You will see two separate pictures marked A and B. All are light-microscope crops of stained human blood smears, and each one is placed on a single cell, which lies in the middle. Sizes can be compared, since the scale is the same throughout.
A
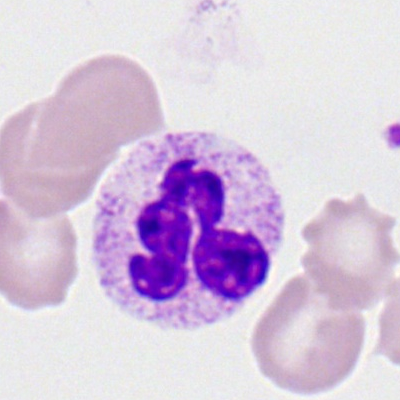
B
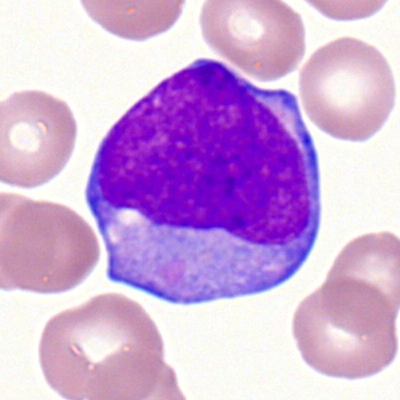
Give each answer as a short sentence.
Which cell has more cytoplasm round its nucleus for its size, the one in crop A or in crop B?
In crop A the nucleus takes up the smaller part of its cell.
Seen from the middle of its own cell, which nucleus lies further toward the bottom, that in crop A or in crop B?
Seen within its cell, the nucleus in crop A lies further toward the bottom.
